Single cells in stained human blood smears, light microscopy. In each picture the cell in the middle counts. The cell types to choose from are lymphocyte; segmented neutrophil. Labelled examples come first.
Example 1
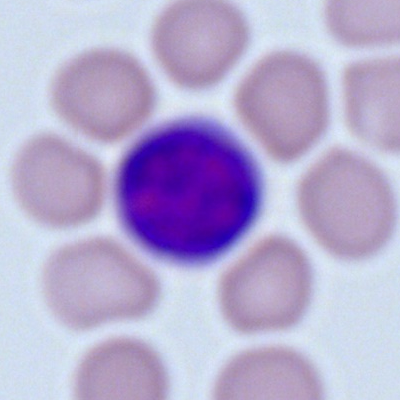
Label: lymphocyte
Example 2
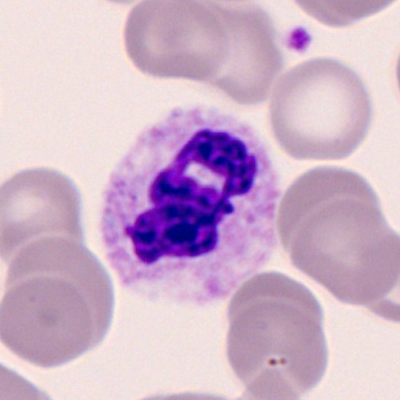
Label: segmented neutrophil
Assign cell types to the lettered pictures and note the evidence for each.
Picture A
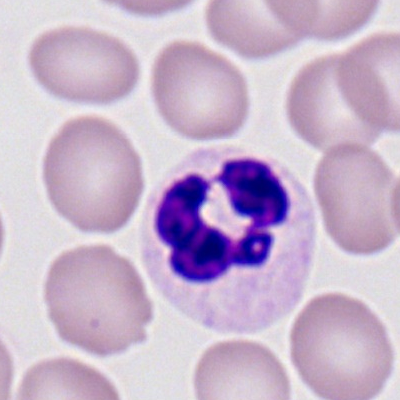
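Label: segmented neutrophil. The cytoplasm is plentiful and pale pinkish-lilac.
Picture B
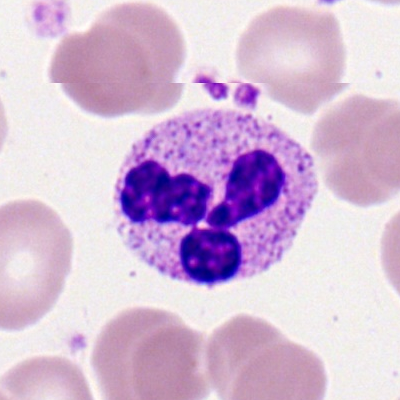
Label: segmented neutrophil. The cytoplasm is plentiful and pale pinkish-lilac.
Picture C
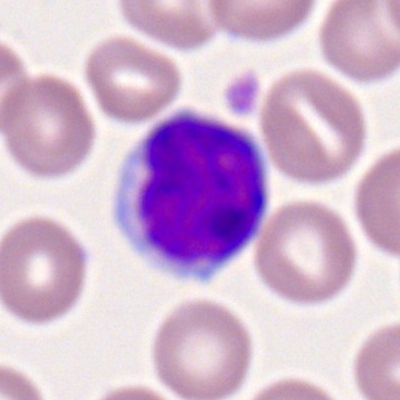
Label: lymphocyte. The nucleus fills most of the cell.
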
